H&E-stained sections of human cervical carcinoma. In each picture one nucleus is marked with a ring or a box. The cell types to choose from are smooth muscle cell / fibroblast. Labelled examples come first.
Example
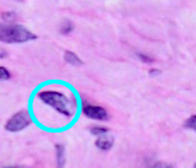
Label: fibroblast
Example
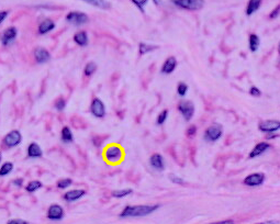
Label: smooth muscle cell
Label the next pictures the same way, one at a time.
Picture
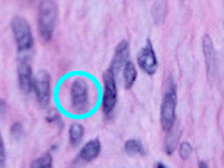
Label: smooth muscle cell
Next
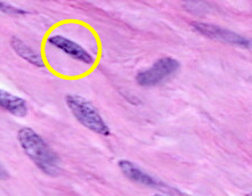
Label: fibroblast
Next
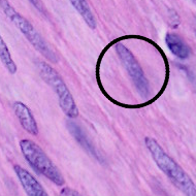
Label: smooth muscle cell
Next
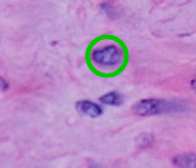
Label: smooth muscle cell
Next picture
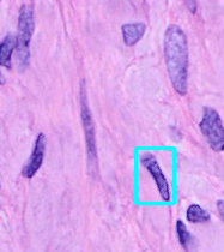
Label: fibroblast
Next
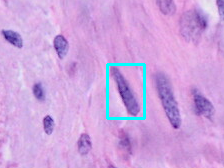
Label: fibroblast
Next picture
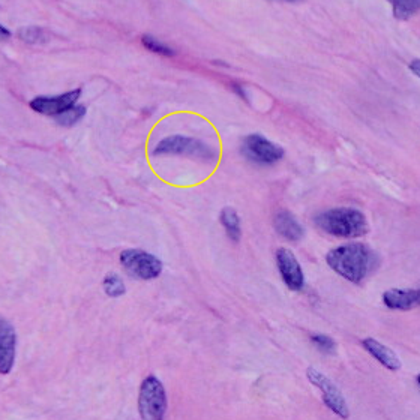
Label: fibroblast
